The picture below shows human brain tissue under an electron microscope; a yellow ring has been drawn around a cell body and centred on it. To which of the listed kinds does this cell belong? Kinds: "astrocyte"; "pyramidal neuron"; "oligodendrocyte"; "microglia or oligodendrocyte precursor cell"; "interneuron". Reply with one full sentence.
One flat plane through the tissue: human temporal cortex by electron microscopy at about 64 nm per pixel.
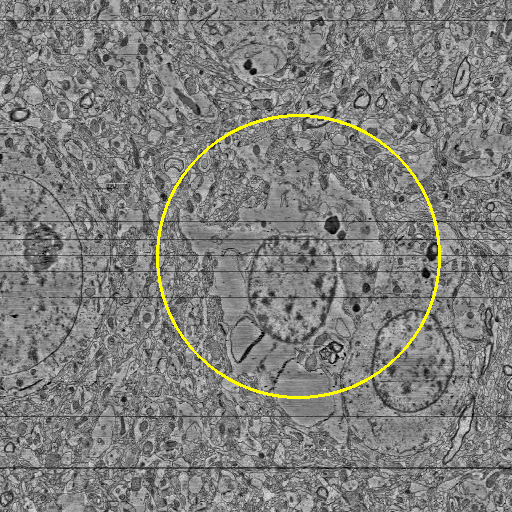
It is an astrocyte that the yellow ring in the picture is centred on.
